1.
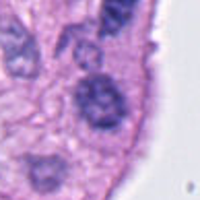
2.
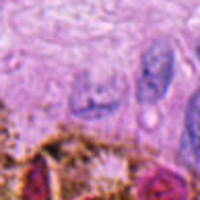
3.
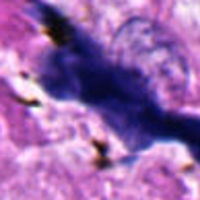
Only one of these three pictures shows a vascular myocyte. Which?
Picture 2.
